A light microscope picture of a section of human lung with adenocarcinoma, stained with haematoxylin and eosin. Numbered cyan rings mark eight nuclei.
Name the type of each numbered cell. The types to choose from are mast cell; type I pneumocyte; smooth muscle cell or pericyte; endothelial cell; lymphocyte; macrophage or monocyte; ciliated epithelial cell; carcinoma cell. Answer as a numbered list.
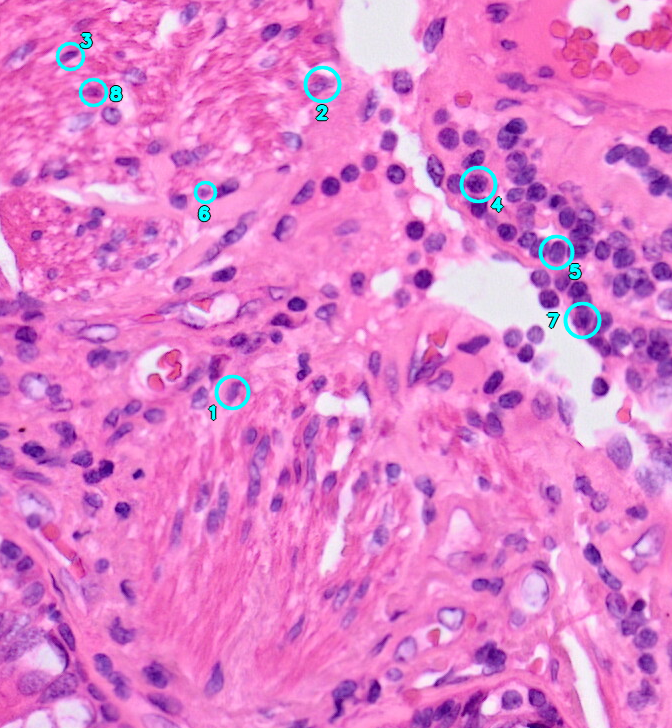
1. smooth muscle cell or pericyte
2. smooth muscle cell or pericyte
3. smooth muscle cell or pericyte
4. lymphocyte
5. lymphocyte
6. smooth muscle cell or pericyte
7. lymphocyte
8. smooth muscle cell or pericyte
